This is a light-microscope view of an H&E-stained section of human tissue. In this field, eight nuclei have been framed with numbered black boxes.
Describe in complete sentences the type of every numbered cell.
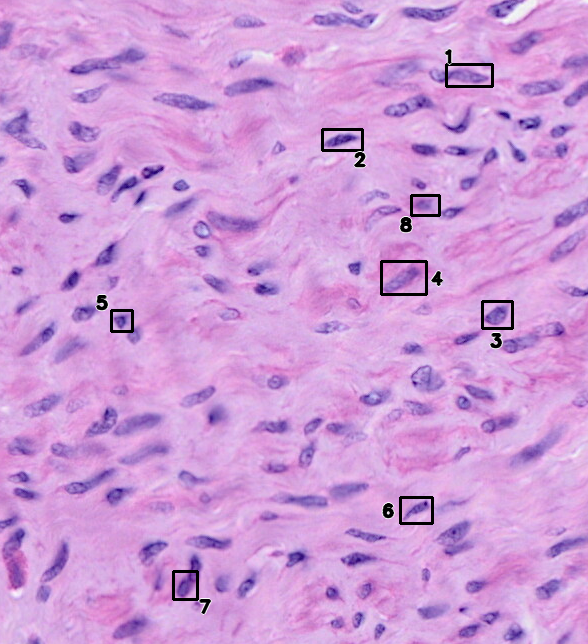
Cell 1 is a smooth muscle cell, cell 2 is a fibroblast, cell 3 is a smooth muscle cell, cell 4 is a smooth muscle cell, cell 5 is a fibroblast, cell 6 is a fibroblast, cell 7 is a smooth muscle cell and cell 8 is a smooth muscle cell.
